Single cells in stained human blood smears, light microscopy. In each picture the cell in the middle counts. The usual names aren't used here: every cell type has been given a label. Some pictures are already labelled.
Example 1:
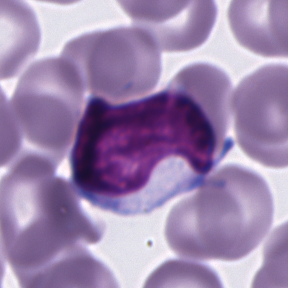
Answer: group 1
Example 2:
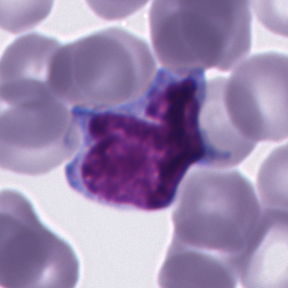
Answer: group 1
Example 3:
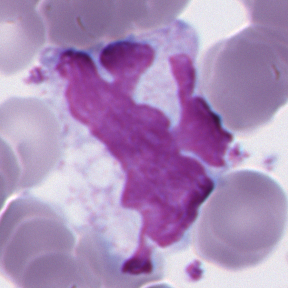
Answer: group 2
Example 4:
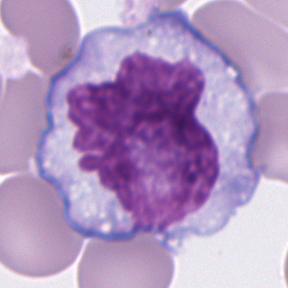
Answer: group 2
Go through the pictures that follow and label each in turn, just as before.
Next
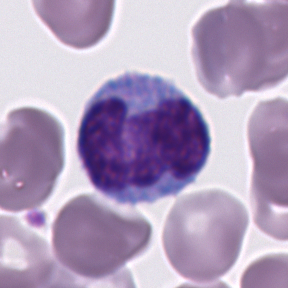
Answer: group 2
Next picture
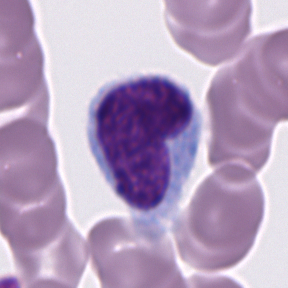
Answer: group 2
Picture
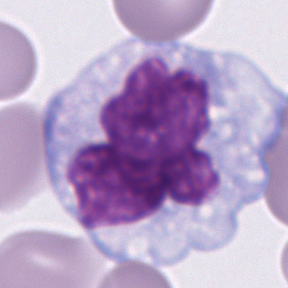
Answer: group 2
